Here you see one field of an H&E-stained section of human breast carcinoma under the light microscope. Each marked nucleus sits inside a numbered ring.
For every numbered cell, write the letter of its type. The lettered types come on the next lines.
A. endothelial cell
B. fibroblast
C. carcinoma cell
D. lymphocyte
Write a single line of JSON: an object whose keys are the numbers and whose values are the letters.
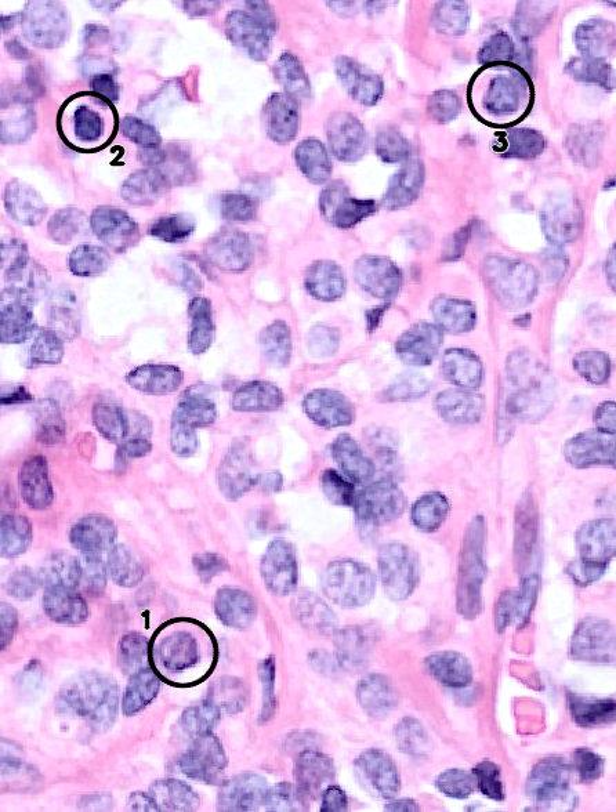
{"1": "C", "2": "D", "3": "C"}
